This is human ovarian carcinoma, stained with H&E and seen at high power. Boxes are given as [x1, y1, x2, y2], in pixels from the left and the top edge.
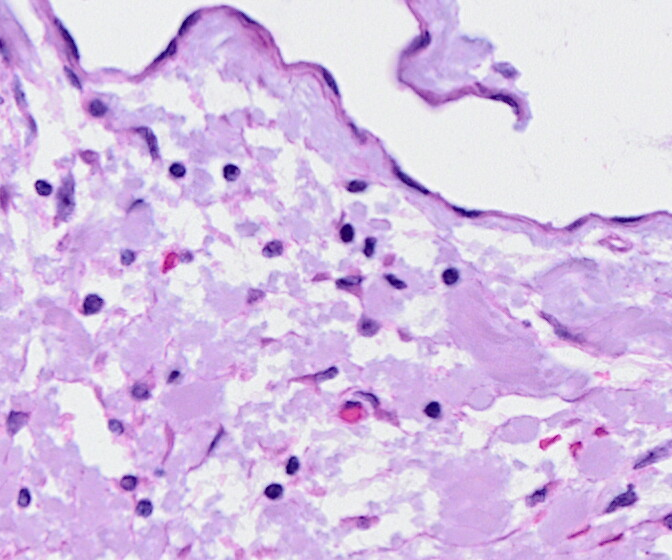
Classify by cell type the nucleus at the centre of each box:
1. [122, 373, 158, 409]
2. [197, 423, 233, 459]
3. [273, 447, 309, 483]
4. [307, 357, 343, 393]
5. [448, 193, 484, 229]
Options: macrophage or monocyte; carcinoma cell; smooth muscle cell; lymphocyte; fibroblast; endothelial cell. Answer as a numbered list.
1. macrophage or monocyte
2. fibroblast
3. lymphocyte
4. fibroblast
5. endothelial cell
